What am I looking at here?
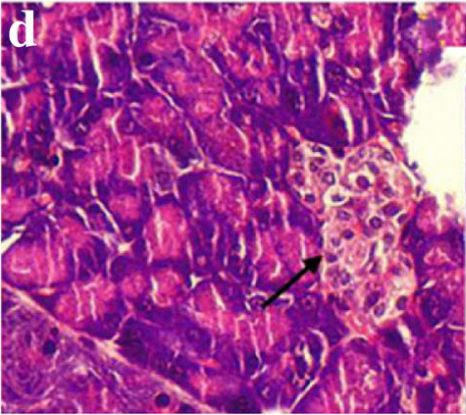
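This section of pancreas shows a pancreatic islet among exocrine acinar tissue. The islet is a pale, irregular cluster of polygonal cells with round nuclei and light cytoplasm, outlined by thin pale borders. It is smaller than the surrounding lobules of acini. The acinar cells around it stain a dark purple-pink and form closely packed groups. A clear empty space lies at the upper right edge of the islet.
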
